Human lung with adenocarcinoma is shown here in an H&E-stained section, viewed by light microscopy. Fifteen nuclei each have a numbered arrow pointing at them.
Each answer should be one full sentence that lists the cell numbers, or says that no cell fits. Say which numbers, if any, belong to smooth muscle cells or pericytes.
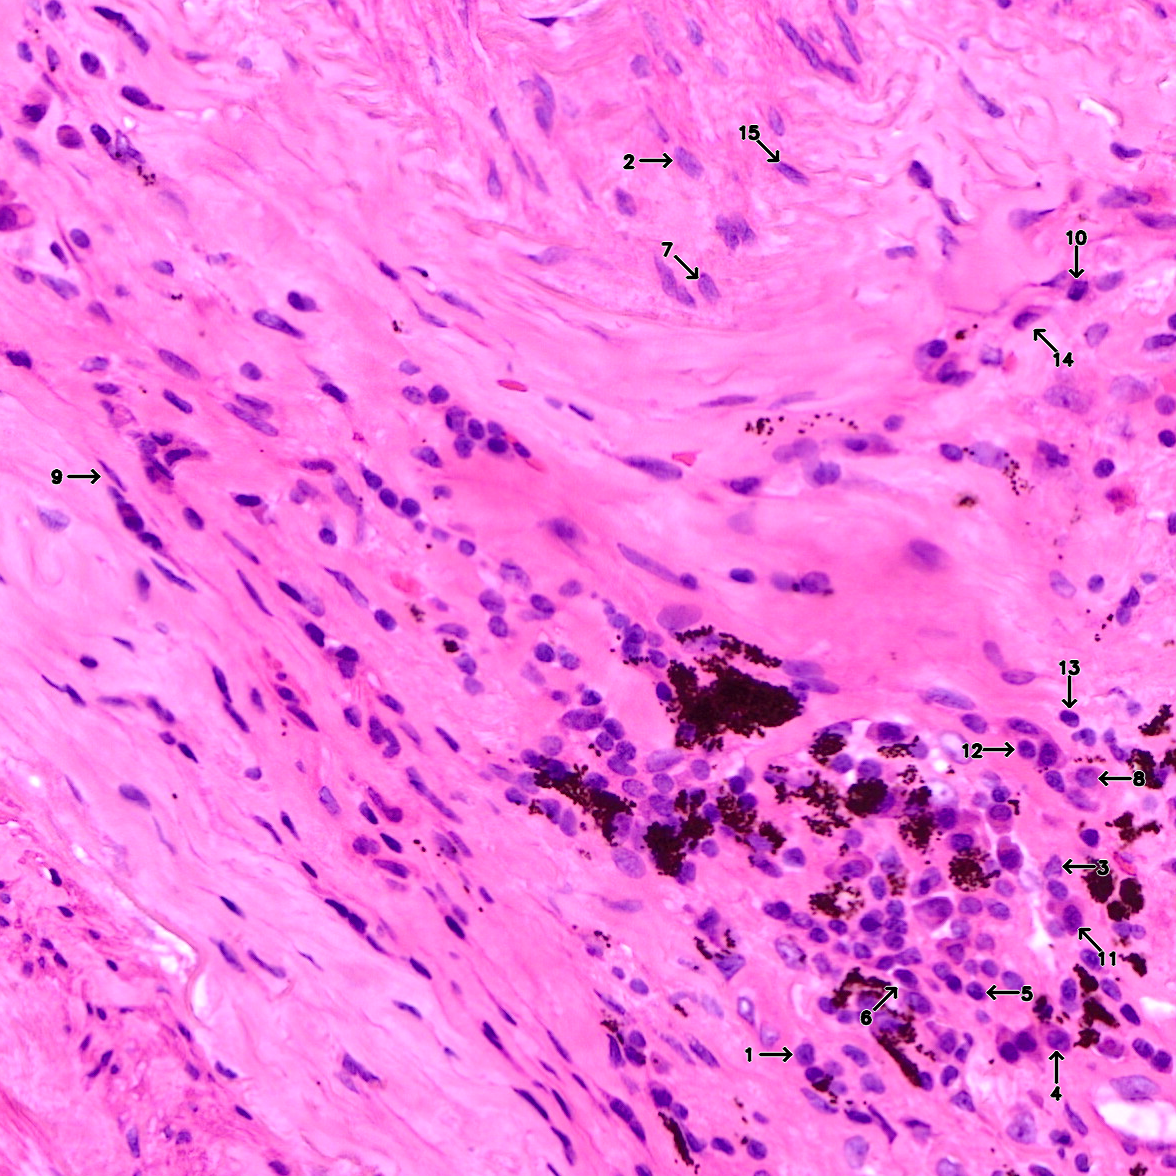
The cells bearing the numbers 2, 7 and 15 are smooth muscle cells or pericytes.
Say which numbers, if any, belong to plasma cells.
Identified as plasma cells are the cells numbered 4, 8, 10, 11 and 14.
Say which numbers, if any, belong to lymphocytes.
The cells the numbers 1, 3, 5, 6, 12 and 13 point to are lymphocytes.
